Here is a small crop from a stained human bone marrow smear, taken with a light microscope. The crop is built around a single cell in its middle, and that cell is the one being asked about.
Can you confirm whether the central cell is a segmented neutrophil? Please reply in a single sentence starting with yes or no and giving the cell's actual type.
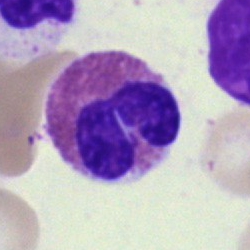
No, the central cell is not to be called a segmented neutrophil, being an eosinophil.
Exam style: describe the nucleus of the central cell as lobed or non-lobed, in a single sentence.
Nuclear material here is separated into two or more segments.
